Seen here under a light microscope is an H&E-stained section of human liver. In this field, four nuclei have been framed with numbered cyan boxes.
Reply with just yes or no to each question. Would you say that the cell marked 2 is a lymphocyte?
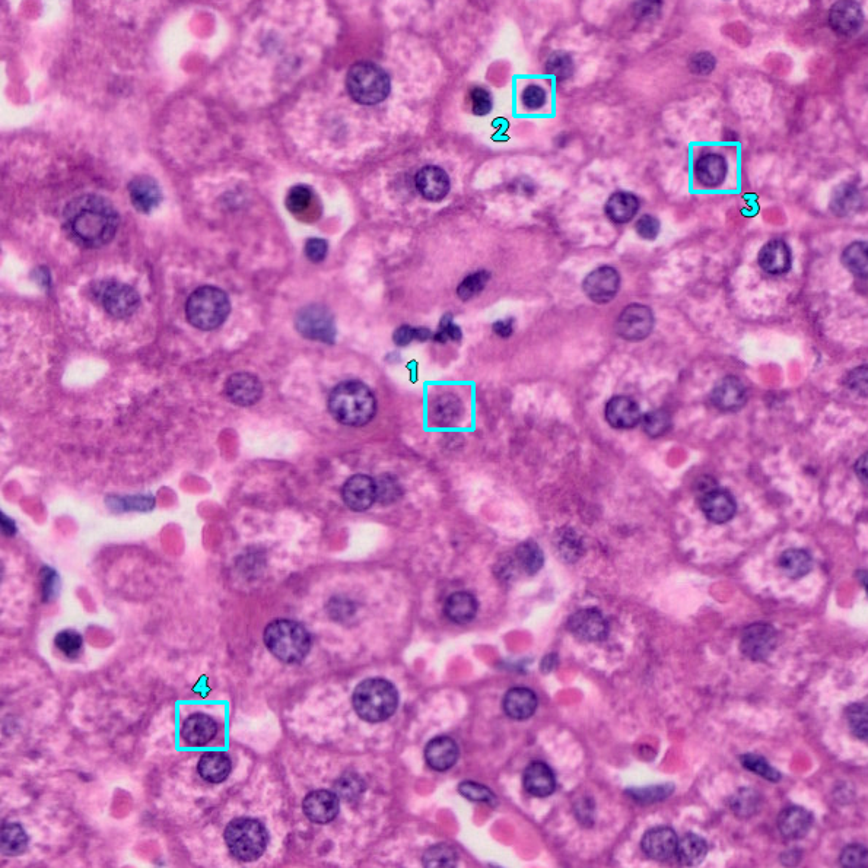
yes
